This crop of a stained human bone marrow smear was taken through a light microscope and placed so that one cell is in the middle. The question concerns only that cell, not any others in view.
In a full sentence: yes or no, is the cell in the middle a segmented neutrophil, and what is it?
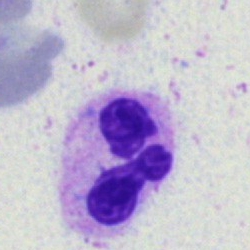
Yes, the cell at the crop's center is a segmented neutrophil.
